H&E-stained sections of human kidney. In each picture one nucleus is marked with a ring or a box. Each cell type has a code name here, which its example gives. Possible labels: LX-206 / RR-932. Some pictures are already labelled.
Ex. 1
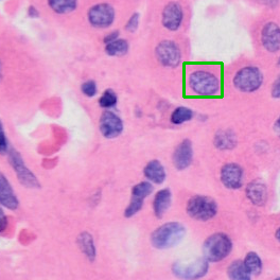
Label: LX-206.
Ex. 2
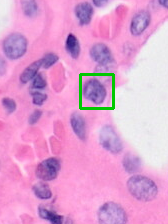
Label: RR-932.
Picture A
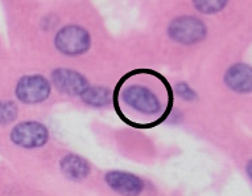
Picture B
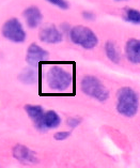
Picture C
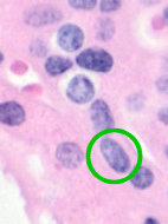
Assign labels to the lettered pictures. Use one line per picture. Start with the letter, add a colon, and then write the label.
A: RR-932.
B: RR-932.
C: RR-932.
